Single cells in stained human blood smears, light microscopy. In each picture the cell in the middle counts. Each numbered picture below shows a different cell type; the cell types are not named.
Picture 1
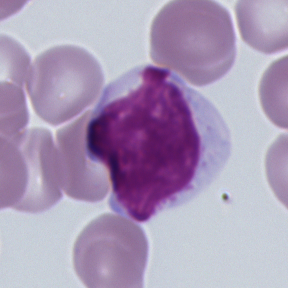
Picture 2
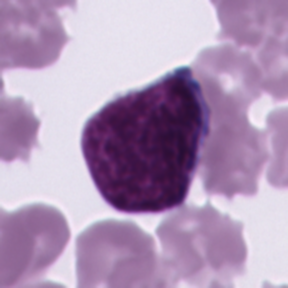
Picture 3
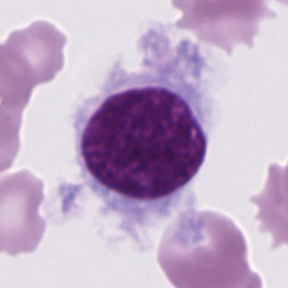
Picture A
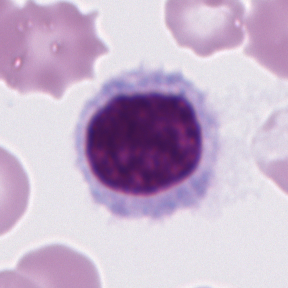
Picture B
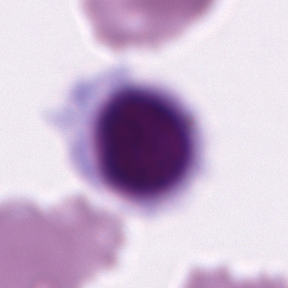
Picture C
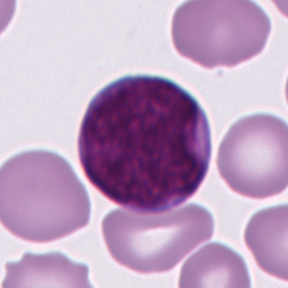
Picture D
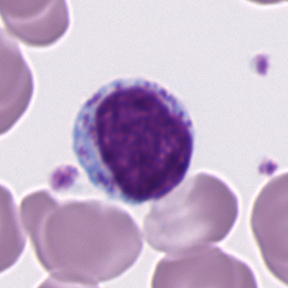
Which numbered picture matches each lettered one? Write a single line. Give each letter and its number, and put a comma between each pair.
A 3, B 3, C 2, D 1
